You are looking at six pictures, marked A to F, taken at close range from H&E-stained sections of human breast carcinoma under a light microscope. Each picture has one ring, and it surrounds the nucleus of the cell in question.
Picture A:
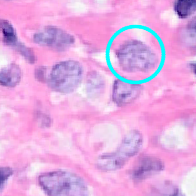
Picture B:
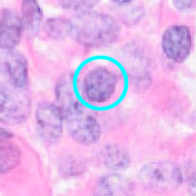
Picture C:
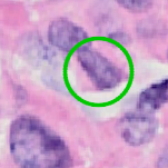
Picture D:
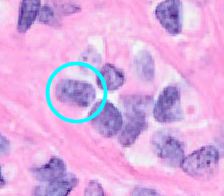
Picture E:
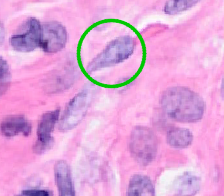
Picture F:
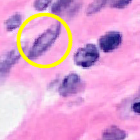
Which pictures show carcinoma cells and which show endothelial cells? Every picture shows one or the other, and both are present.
A: carcinoma cell
B: carcinoma cell
C: carcinoma cell
D: carcinoma cell
E: endothelial cell
F: endothelial cell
